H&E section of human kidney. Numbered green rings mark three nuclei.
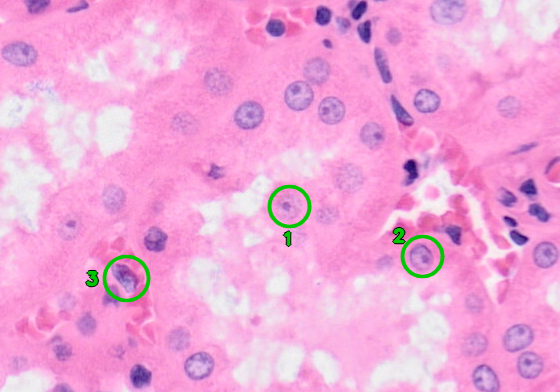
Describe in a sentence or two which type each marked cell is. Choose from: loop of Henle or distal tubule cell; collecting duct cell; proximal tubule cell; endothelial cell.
Cells 1 and 2 are proximal tubule cells. Cell 3 is an endothelial cell.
